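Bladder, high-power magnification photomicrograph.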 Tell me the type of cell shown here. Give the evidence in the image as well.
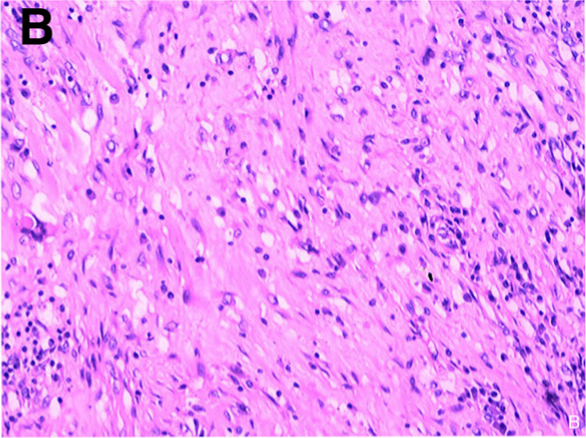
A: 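Proliferating myofibroblasts. Plump spindle-shaped cells with oval nuclei are scattered through the field. The cells lie in a pink fibrillar stroma. A few small round dark cells lie at the lower left edge.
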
